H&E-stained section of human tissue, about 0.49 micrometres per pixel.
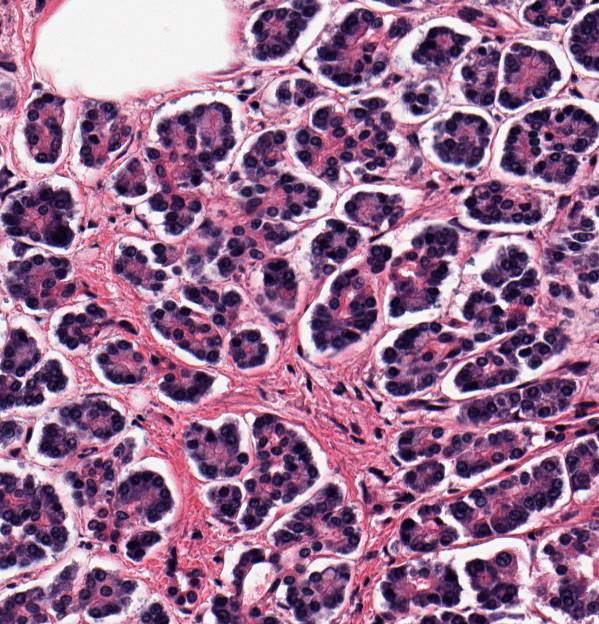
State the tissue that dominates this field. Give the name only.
exocrine pancreas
